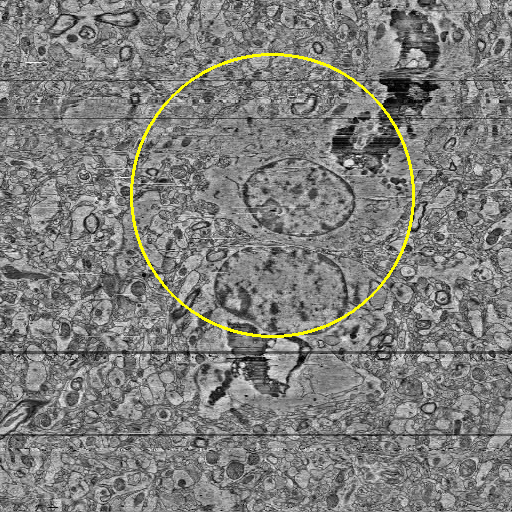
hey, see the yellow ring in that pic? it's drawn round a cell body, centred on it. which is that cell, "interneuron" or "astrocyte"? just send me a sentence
The cell in the ring is an astrocyte.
